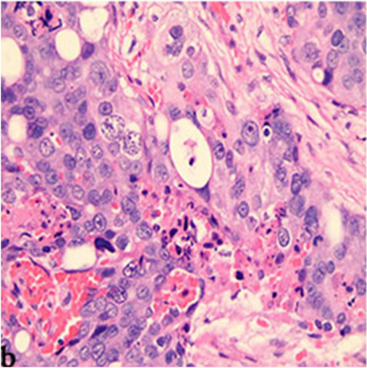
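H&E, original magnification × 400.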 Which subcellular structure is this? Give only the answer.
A: conspicuous nucleoli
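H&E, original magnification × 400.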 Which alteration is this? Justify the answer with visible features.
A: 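Atypical cell nuclei. Nuclei are enlarged and vary in size and shape. Nuclear chromatin is open with prominent nucleoli. Cells lie crowded in sheets.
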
